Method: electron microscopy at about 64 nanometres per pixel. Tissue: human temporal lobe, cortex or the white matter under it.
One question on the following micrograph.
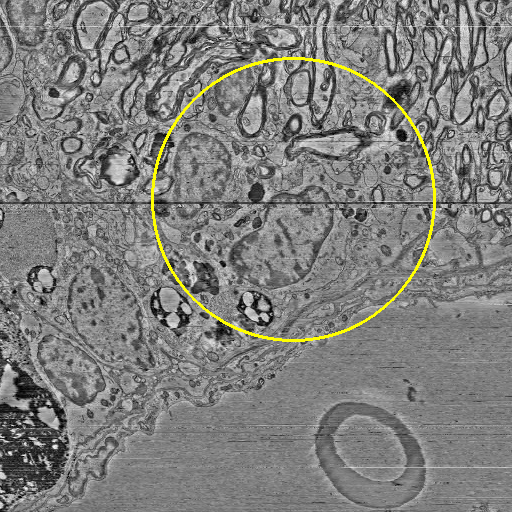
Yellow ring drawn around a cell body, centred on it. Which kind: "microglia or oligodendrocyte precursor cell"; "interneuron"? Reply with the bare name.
microglia or oligodendrocyte precursor cell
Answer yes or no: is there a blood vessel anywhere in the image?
Yes, there is a blood vessel in the image.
